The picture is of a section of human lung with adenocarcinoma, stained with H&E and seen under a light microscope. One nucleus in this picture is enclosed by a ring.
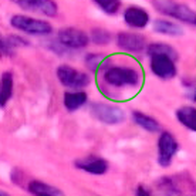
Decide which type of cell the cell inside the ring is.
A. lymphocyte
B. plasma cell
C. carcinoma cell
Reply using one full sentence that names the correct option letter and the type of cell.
The correct response is option B: the cell inside the ring is a plasma cell.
